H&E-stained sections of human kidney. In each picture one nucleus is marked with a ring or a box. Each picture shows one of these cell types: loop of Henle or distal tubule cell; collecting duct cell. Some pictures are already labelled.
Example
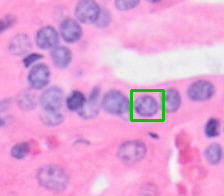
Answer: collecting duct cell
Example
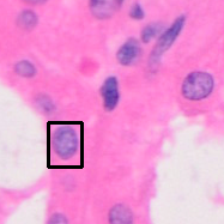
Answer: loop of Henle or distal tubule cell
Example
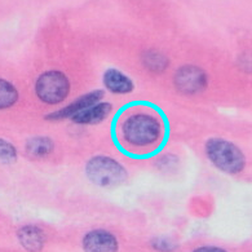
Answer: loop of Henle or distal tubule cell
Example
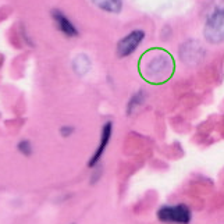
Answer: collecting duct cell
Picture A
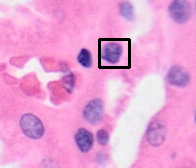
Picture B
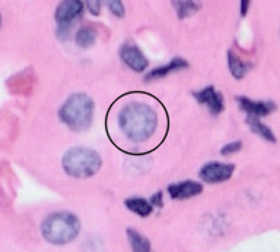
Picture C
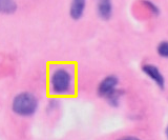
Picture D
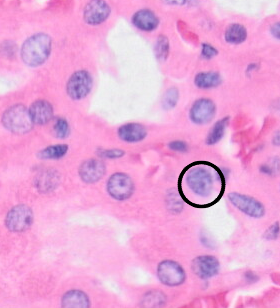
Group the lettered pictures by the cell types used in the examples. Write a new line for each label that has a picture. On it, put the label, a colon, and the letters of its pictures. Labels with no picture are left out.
loop of Henle or distal tubule cell: A, B, C
collecting duct cell: D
